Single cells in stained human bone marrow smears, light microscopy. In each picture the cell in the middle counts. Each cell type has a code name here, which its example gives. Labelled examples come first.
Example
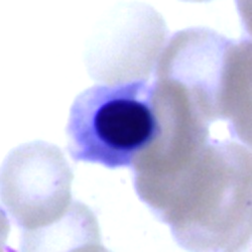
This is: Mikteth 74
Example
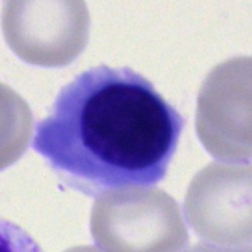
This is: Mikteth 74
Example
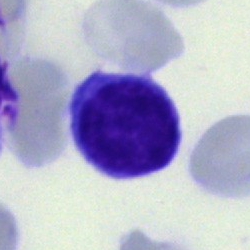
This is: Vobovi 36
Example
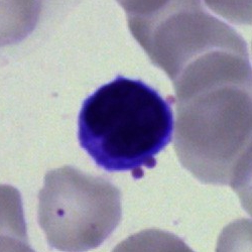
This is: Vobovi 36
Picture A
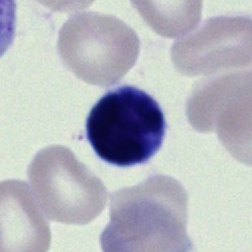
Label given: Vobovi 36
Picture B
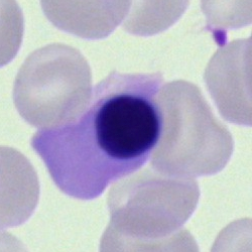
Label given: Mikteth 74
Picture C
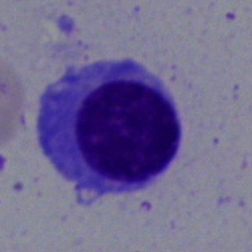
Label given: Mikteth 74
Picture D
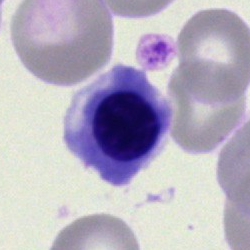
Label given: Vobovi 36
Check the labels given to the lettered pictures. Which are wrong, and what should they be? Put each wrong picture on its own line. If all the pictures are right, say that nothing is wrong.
D is labelled Vobovi 36; correct label: Mikteth 74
